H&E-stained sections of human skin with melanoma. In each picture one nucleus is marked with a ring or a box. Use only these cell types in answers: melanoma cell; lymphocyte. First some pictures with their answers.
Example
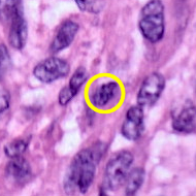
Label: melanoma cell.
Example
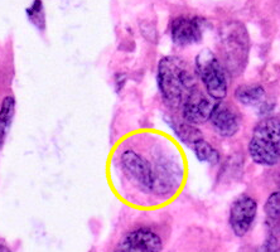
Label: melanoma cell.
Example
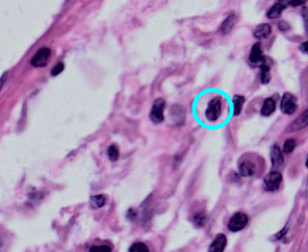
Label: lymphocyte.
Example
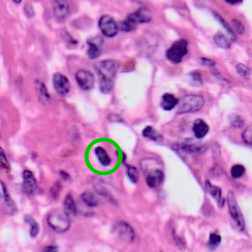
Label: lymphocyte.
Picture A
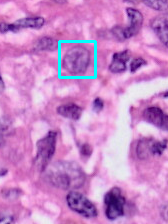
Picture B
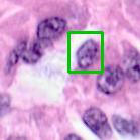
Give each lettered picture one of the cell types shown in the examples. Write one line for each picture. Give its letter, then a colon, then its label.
A: melanoma cell.
B: melanoma cell.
